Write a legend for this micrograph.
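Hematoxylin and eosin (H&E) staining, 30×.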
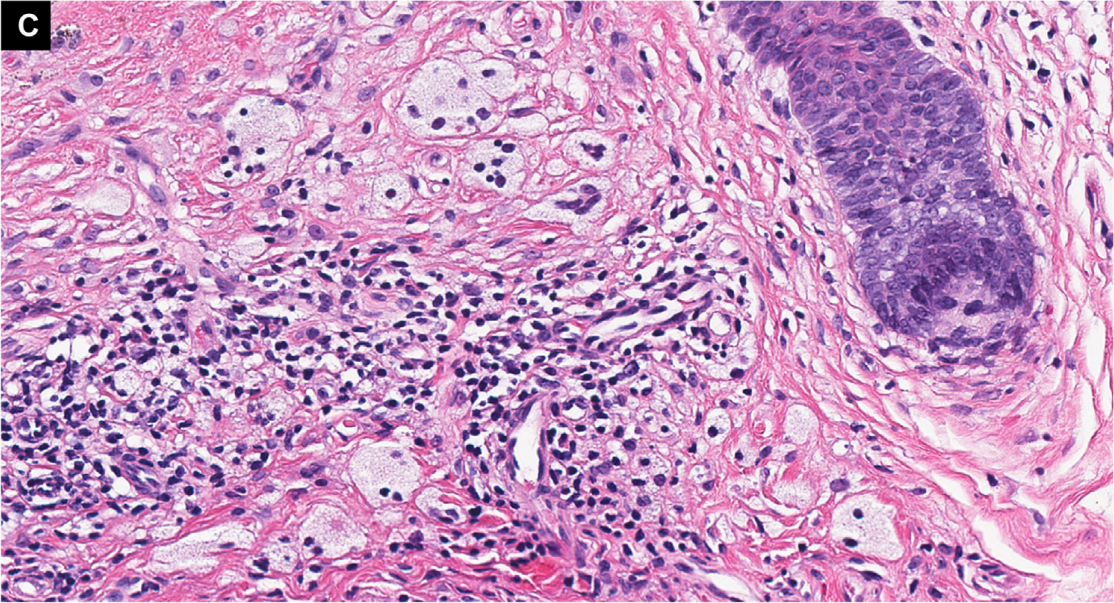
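Between pink collagen bundles lie many large cells with abundant pale, foamy, finely bubbly cytoplasm, some holding several nuclei, mixed with a dense crowd of small cells with dark round nuclei and little cytoplasm; a purple epithelial cord lies at one side. The foamy cells are xanthomatized histiocytes, some multinucleated, set in a lymphocytic infiltrate.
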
